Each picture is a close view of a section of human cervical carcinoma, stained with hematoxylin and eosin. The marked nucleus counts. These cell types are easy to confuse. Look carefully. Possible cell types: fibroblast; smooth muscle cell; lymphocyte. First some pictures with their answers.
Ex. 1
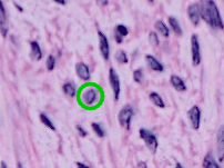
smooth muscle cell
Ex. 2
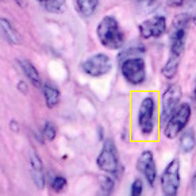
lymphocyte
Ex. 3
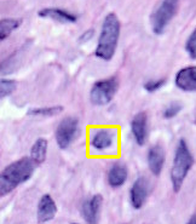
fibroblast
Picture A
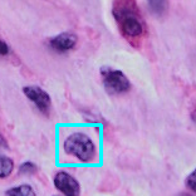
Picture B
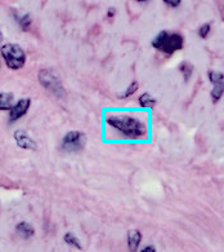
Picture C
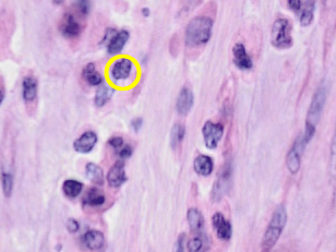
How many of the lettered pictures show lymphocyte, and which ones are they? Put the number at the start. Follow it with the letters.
3, namely A, B, C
